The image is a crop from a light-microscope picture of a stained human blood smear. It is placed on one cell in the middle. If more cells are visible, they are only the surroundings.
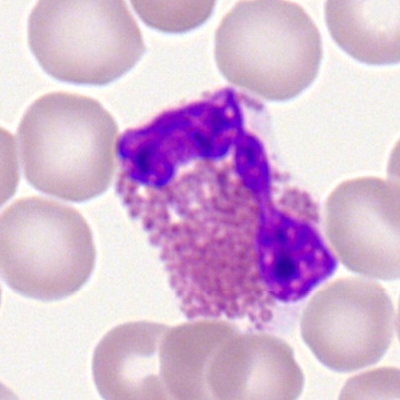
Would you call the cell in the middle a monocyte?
no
